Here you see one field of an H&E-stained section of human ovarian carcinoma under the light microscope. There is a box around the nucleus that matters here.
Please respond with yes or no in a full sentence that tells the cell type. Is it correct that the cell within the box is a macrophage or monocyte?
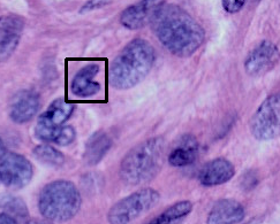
Yes, the cell within the box is, by type, a macrophage or monocyte.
